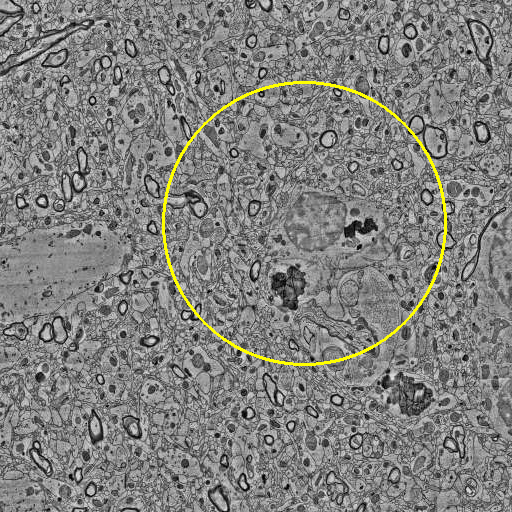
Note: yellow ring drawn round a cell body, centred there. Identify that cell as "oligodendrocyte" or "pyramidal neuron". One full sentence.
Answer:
The cell in the middle of the ring is an oligodendrocyte.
